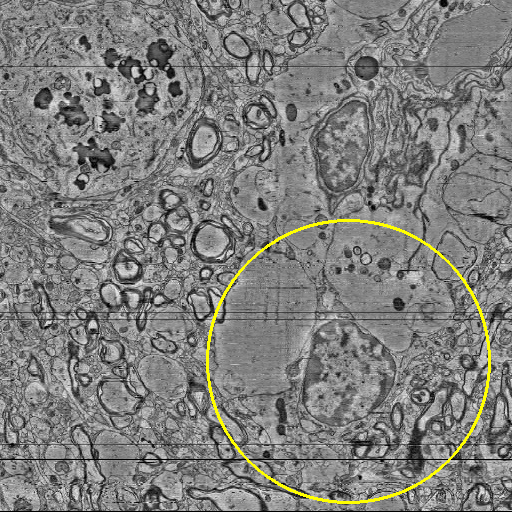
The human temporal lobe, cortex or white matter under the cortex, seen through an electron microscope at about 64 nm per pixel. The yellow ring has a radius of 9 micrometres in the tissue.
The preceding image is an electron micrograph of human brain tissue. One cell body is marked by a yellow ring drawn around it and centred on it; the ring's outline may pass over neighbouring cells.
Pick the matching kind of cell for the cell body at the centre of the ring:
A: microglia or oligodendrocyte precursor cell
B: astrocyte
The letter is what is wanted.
A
